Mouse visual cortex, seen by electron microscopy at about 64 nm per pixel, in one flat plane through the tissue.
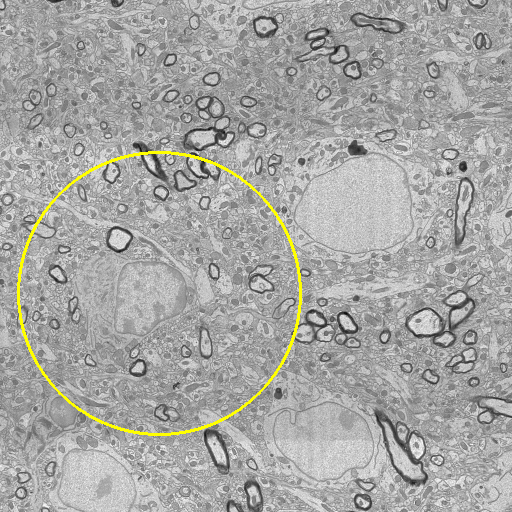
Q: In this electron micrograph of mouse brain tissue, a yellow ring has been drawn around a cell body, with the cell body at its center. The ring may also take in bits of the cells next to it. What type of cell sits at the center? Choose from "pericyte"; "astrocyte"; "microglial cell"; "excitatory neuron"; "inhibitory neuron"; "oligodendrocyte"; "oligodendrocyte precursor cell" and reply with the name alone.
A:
oligodendrocyte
